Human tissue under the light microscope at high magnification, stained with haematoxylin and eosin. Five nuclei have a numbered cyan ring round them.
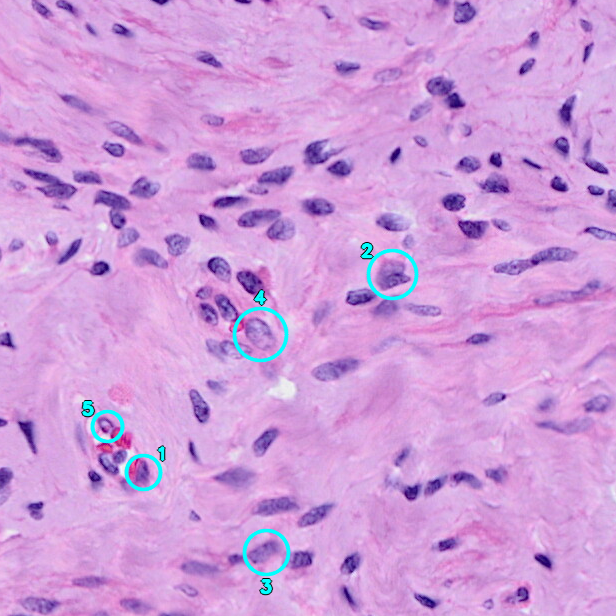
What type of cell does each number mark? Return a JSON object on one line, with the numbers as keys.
{"1": "endothelial cell", "2": "fibroblast", "3": "smooth muscle cell", "4": "endothelial cell", "5": "endothelial cell"}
